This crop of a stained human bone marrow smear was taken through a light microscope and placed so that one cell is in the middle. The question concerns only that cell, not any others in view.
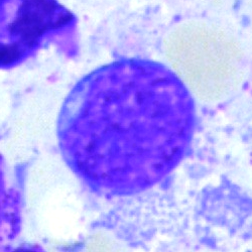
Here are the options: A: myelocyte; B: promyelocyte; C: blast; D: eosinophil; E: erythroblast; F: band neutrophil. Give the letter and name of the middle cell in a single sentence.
The central cell in this crop is a blast, corresponding to option C, the correct option.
